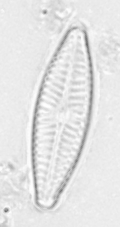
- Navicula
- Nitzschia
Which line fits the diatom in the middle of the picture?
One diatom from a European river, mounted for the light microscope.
Navicula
